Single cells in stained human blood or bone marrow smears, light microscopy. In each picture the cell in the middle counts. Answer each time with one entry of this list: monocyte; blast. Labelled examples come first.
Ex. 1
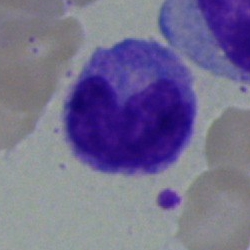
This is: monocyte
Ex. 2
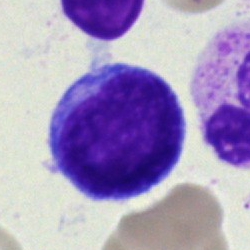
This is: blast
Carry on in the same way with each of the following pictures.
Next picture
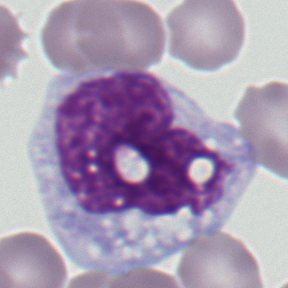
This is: monocyte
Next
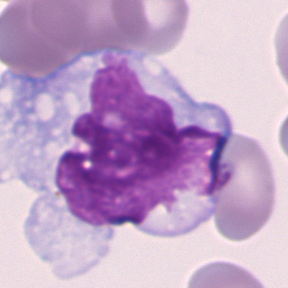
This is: monocyte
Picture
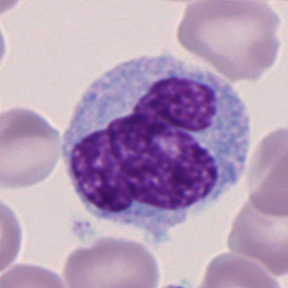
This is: monocyte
